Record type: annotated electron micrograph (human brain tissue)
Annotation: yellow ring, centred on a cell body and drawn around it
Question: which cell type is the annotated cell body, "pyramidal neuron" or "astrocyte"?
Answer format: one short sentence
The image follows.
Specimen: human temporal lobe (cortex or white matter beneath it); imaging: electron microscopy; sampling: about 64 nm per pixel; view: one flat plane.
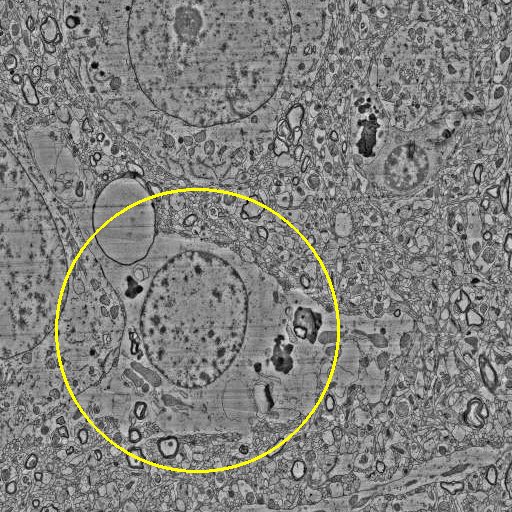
The annotated cell body is that of an astrocyte.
